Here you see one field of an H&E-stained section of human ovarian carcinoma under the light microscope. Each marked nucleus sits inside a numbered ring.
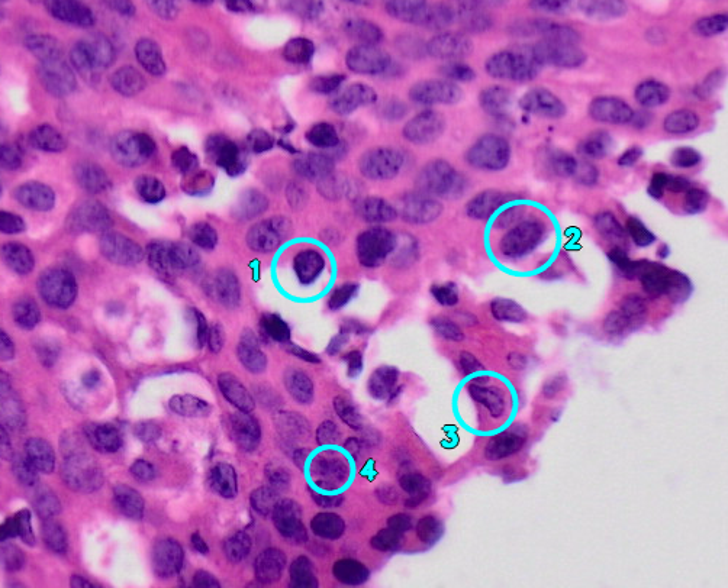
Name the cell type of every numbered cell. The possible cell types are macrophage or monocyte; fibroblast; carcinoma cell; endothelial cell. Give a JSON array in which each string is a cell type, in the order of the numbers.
["carcinoma cell", "carcinoma cell", "macrophage or monocyte", "carcinoma cell"]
